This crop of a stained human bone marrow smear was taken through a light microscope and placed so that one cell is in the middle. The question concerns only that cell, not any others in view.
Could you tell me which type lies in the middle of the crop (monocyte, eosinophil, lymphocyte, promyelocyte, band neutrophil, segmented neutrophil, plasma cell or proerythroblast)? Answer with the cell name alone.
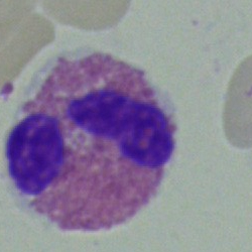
eosinophil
